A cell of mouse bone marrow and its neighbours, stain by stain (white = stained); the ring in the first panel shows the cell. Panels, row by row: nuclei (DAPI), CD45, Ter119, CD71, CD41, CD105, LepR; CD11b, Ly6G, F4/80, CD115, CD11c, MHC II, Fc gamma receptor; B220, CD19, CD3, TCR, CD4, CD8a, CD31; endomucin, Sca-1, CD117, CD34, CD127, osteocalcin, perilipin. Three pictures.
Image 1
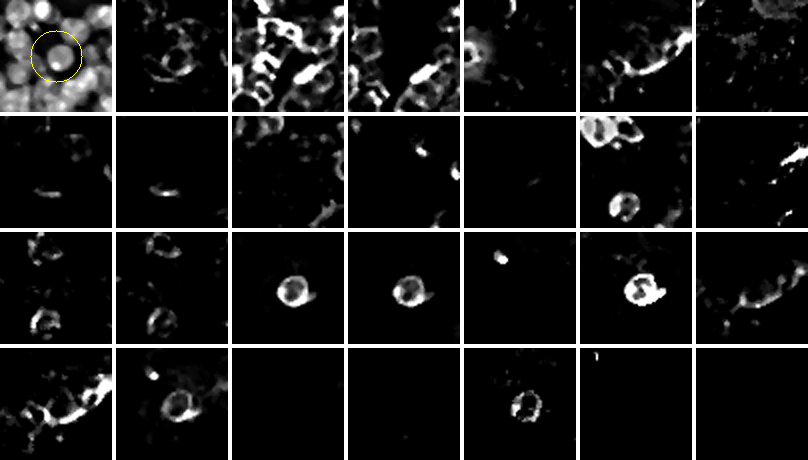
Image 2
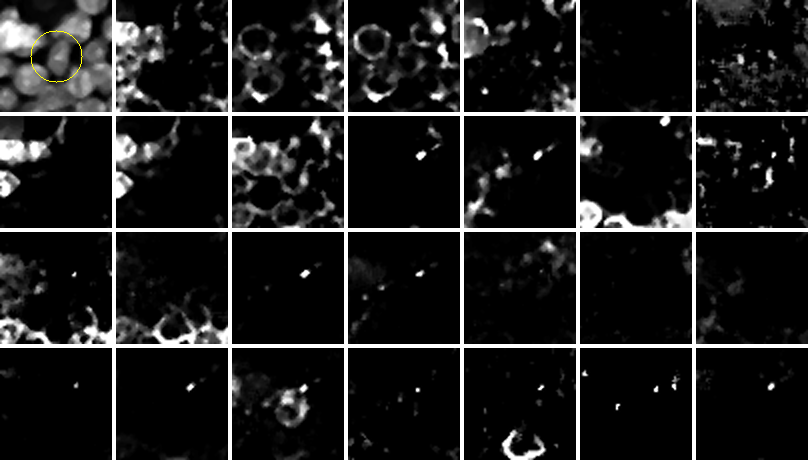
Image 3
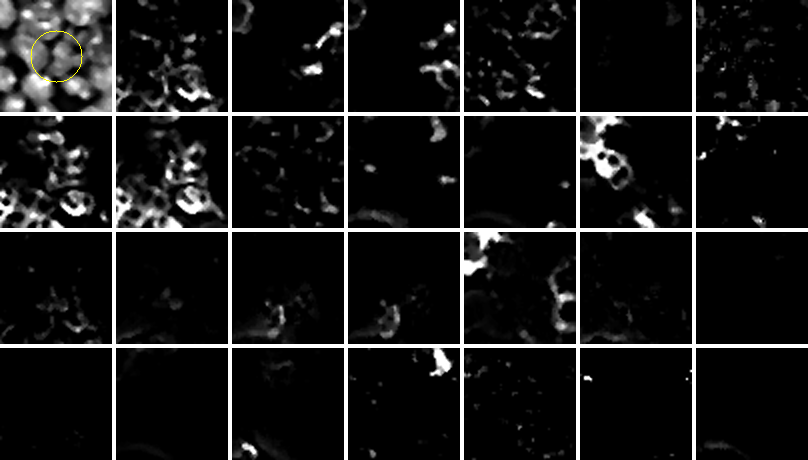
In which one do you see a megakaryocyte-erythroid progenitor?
In picture 2.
